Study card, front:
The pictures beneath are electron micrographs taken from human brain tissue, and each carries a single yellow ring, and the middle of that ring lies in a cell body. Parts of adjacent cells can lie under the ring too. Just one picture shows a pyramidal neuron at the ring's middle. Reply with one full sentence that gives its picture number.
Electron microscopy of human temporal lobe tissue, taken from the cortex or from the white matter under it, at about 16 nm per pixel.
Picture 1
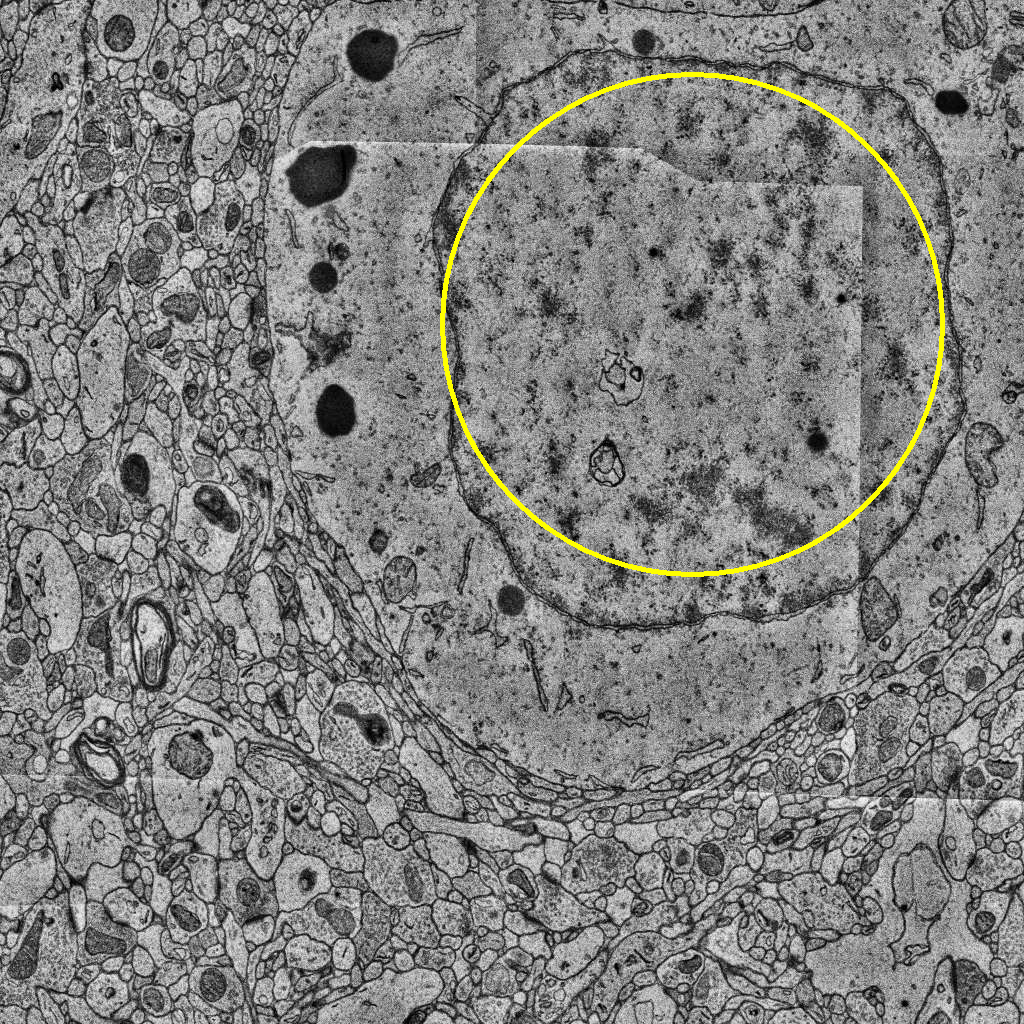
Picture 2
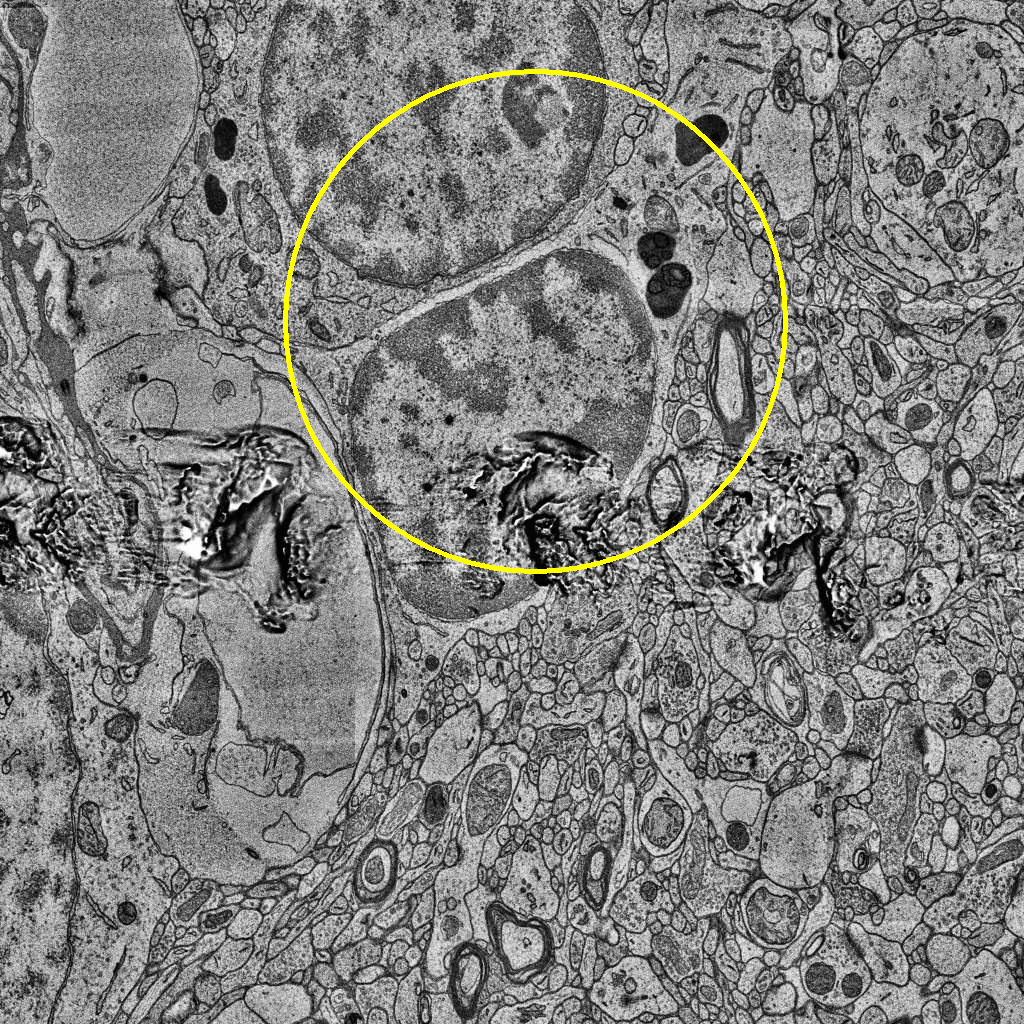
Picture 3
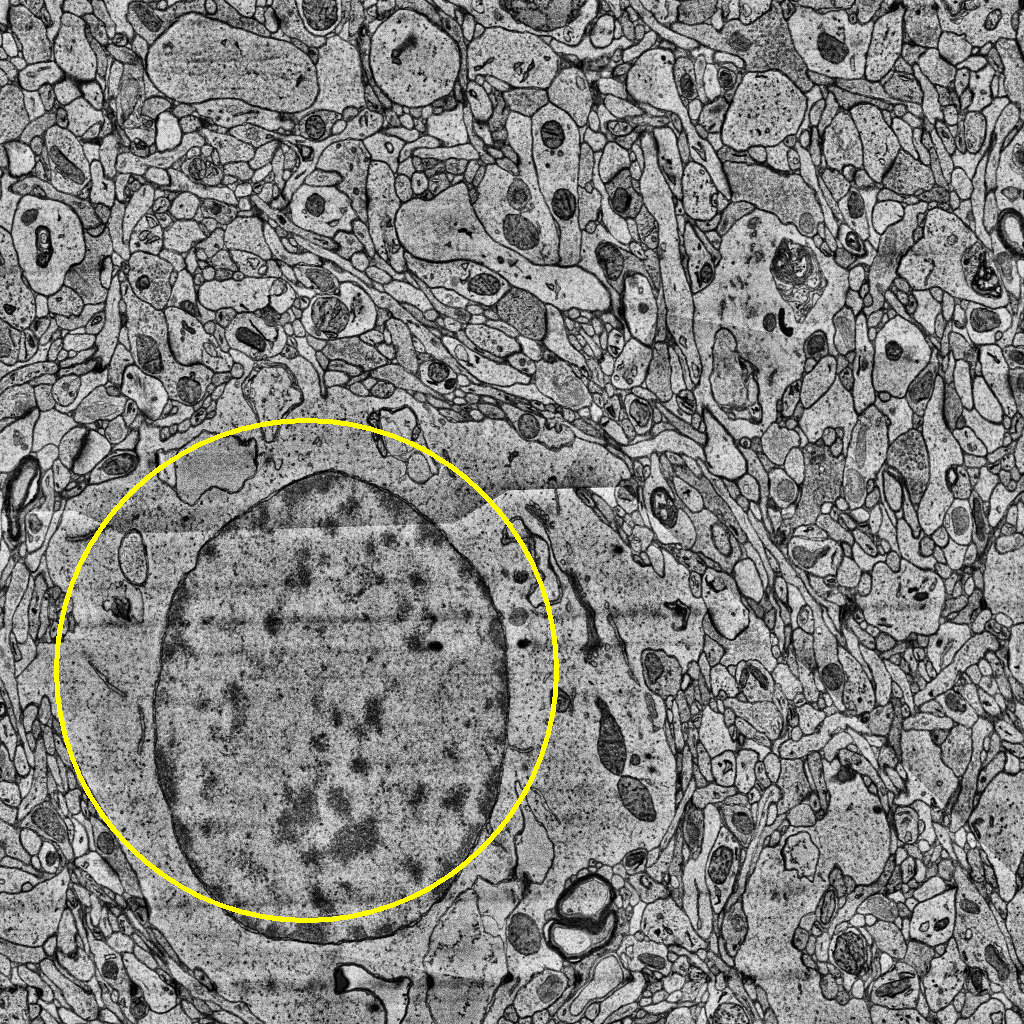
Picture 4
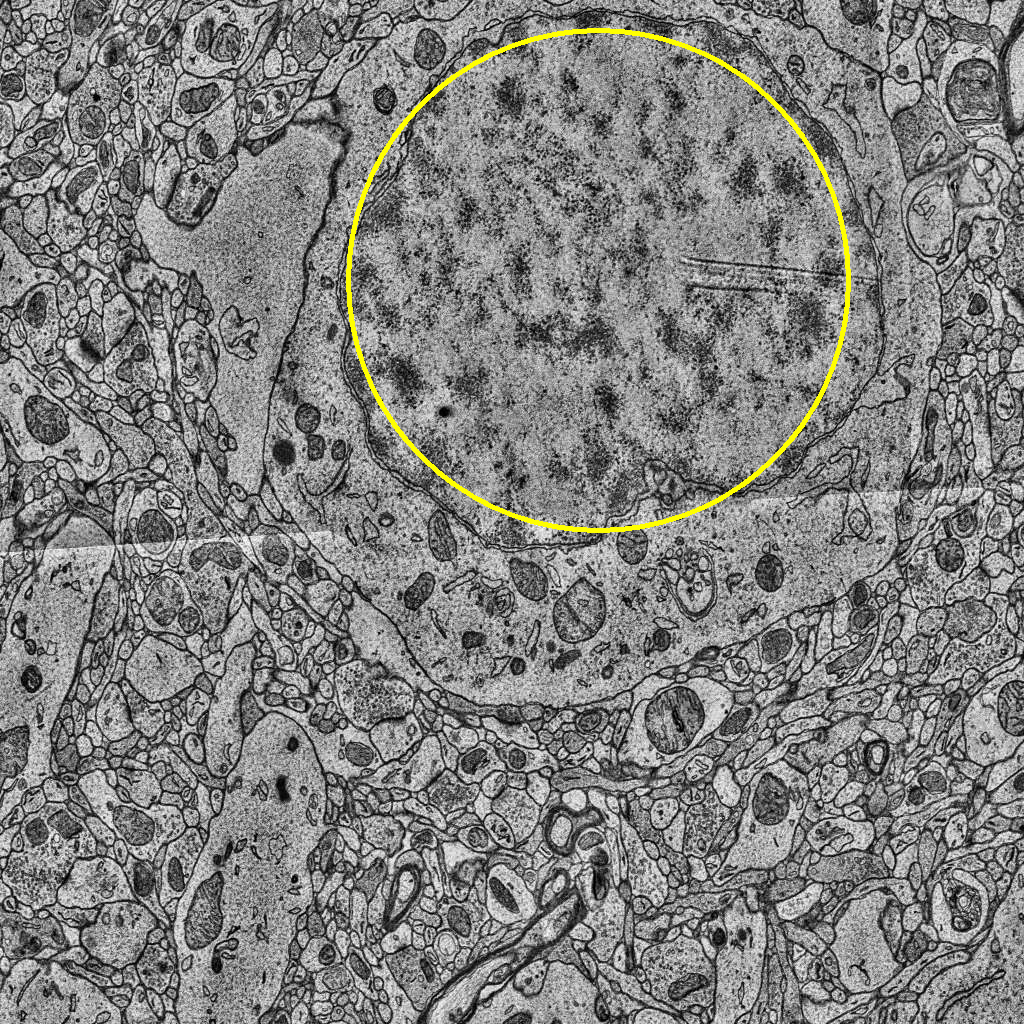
Picture 1 is the one whose ring has its centre within the requested cell.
